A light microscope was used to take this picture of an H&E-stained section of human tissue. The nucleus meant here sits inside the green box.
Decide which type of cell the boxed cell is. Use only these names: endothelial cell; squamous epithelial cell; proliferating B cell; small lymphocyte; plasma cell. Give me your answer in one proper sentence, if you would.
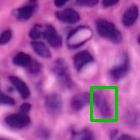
In the tissue under study, the boxed cell is a squamous epithelial cell.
